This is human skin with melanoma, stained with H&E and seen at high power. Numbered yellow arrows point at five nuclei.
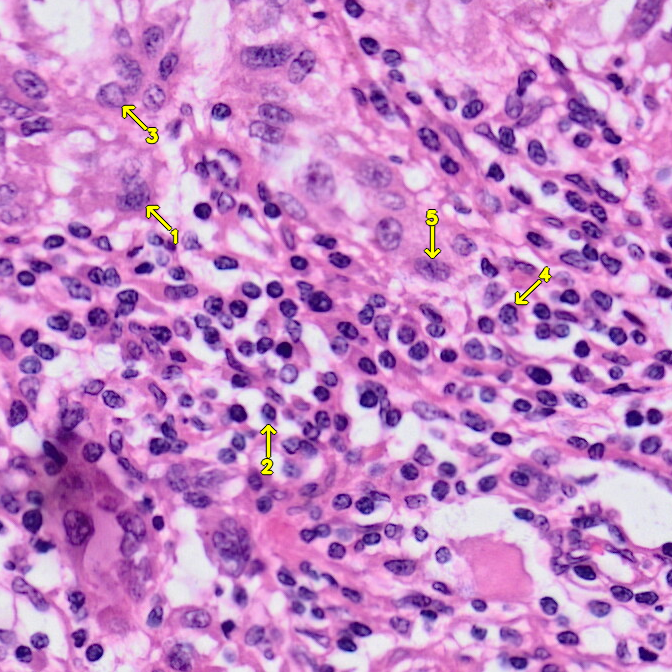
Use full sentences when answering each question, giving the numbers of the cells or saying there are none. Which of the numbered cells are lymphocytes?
Cells 2 and 4 are recognised here as lymphocytes.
